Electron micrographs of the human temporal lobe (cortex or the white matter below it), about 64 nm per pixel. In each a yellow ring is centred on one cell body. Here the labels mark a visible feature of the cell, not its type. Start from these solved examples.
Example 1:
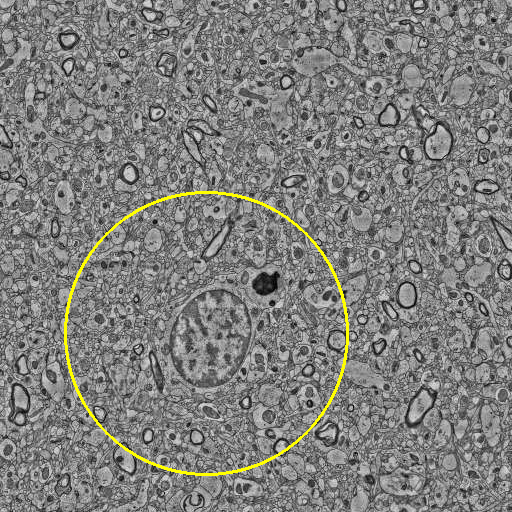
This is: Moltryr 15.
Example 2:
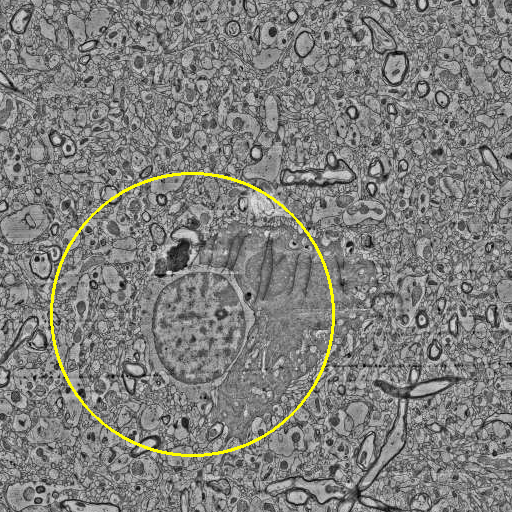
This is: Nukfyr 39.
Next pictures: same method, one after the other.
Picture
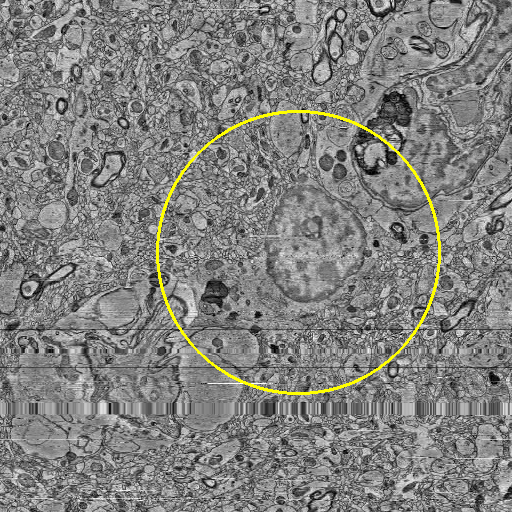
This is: Nukfyr 39.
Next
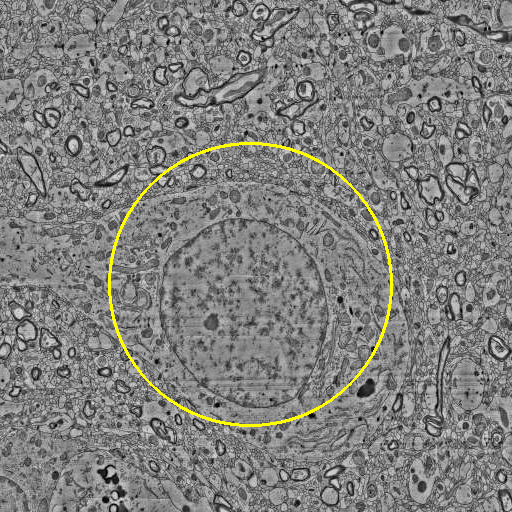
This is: Nukfyr 39.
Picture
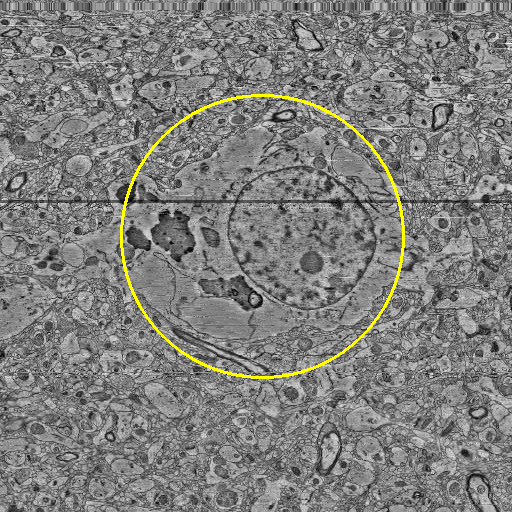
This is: Nukfyr 39.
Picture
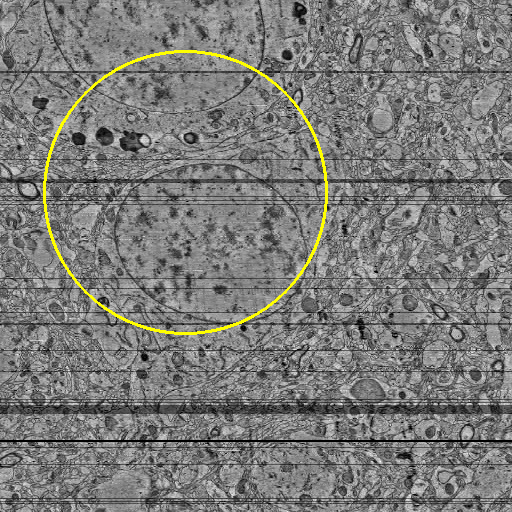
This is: Moltryr 15.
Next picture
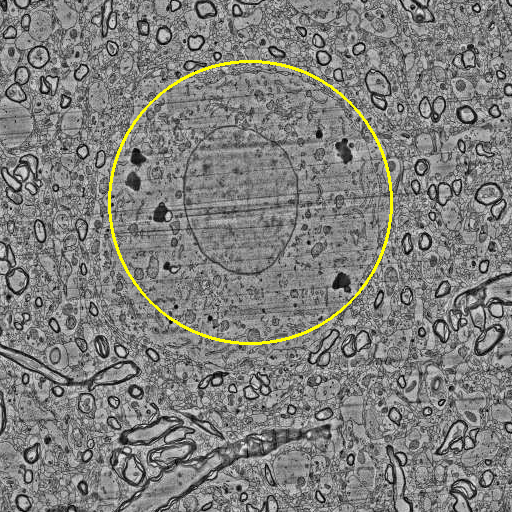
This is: Moltryr 15.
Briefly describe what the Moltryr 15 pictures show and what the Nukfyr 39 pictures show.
In Moltryr 15: no nucleolus seen. In Nukfyr 39: nucleolus seen.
